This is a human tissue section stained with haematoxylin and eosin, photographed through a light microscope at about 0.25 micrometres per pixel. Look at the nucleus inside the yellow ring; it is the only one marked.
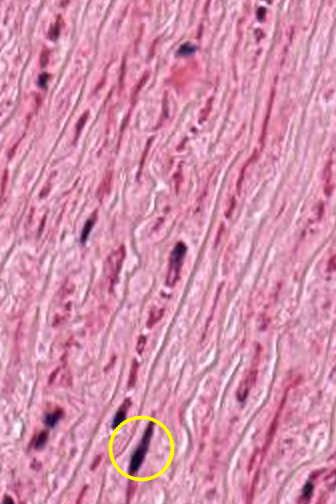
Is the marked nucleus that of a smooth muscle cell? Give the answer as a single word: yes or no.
yes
